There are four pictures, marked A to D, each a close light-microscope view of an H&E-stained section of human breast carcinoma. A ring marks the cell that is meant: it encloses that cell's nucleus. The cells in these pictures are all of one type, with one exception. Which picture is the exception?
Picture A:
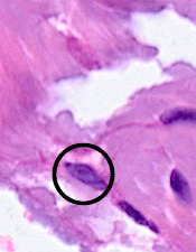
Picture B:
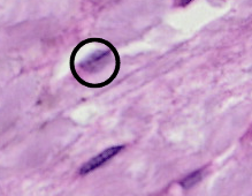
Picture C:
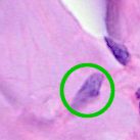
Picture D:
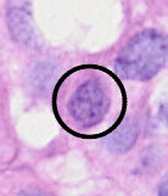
D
